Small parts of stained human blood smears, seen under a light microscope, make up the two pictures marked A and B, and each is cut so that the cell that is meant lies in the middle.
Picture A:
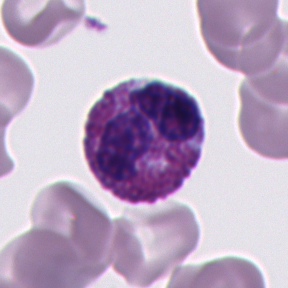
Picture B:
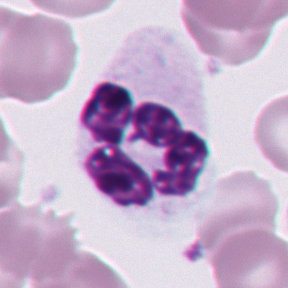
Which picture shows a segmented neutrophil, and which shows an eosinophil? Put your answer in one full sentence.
Picture A shows an eosinophil and picture B shows a segmented neutrophil.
